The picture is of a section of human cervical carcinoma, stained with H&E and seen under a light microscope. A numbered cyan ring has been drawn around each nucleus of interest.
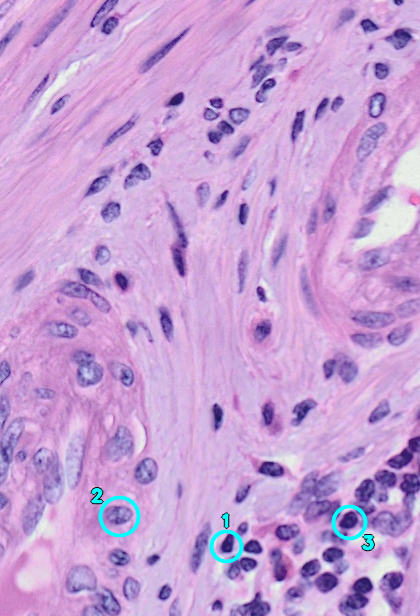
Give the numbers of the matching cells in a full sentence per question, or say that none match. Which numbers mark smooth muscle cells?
Only the cell at mark 2 is a smooth muscle cell, and no other marked cell is.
